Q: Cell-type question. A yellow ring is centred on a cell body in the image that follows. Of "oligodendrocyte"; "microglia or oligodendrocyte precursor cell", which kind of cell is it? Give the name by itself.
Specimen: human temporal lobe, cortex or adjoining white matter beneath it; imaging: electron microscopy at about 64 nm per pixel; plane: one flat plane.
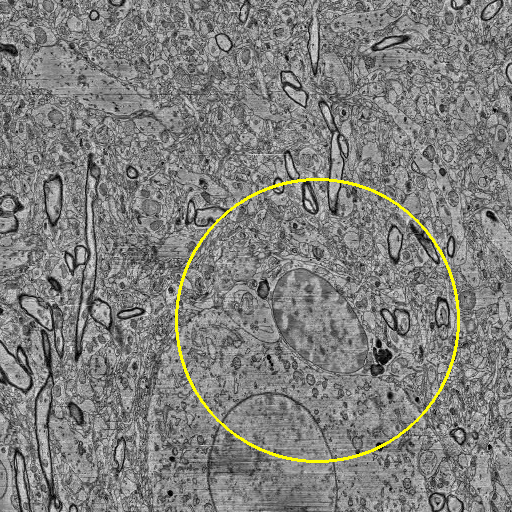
microglia or oligodendrocyte precursor cell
